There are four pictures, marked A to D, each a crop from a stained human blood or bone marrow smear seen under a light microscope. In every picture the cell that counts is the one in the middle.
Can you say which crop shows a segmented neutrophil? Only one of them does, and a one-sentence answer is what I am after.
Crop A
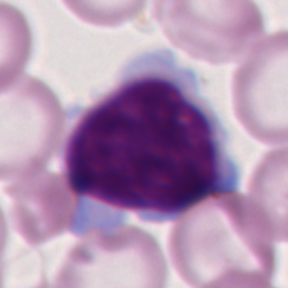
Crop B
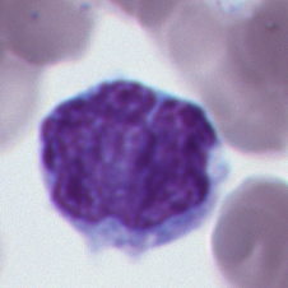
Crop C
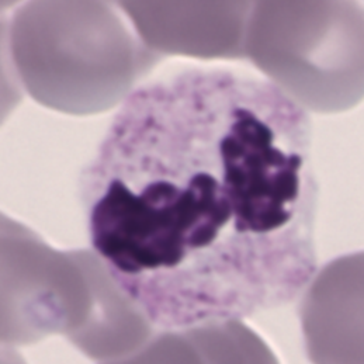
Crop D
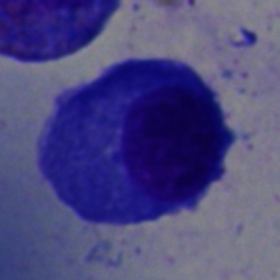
So the crop with a segmented neutrophil at its center is crop C.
